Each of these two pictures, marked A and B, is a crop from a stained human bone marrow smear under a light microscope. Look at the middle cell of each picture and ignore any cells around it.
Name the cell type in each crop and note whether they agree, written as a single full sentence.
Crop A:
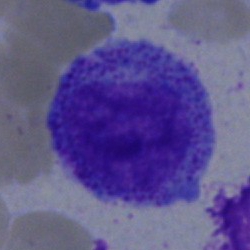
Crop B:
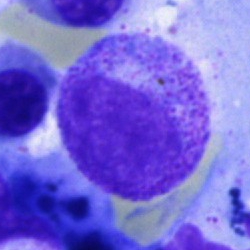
Yes, myelocytes are seen in both crops.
